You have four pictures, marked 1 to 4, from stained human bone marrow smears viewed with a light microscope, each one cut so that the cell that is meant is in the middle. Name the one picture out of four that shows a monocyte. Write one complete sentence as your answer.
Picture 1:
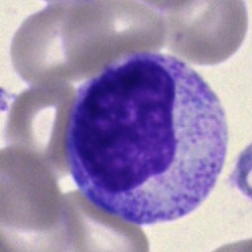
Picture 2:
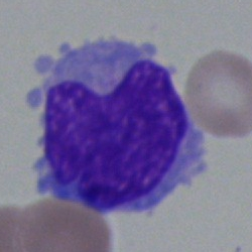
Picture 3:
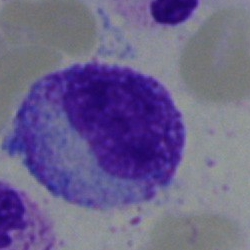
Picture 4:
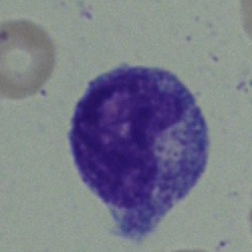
The monocyte is the one in picture 2.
